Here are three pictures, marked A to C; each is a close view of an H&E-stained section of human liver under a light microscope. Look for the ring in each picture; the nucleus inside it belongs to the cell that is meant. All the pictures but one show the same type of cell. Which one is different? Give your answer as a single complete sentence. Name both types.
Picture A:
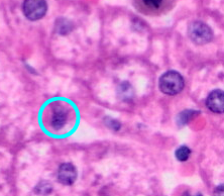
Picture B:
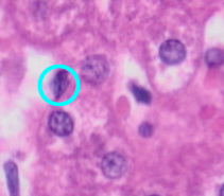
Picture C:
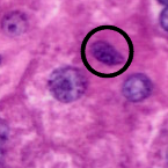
Picture B is the odd one out: it shows an endothelial cell, while the others show “fibroblasts or stellate cells”.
